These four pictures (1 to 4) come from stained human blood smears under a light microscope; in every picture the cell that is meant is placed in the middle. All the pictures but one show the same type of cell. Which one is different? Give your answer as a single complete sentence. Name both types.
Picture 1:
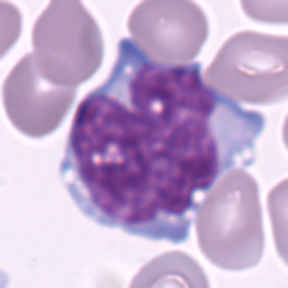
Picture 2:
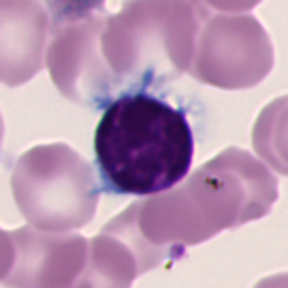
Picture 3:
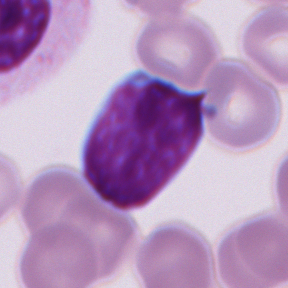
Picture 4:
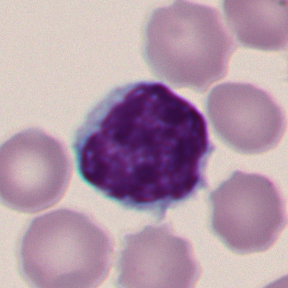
All pictures except 1 show typical lymphocytes; picture 1 shows a myeloblast.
